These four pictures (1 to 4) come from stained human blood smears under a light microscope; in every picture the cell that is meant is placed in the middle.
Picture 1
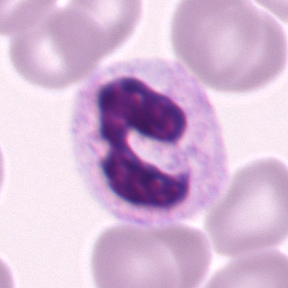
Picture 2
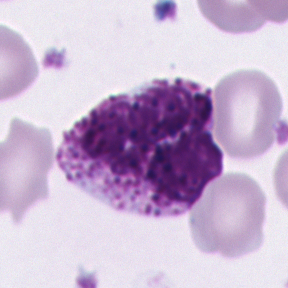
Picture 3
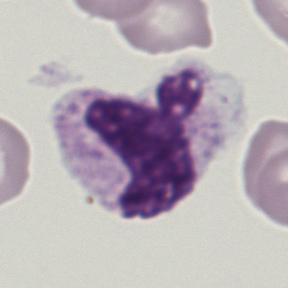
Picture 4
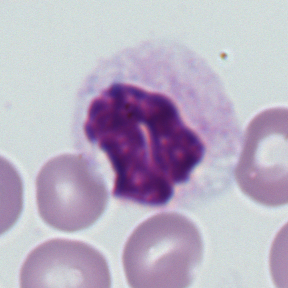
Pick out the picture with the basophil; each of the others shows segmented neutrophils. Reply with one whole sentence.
Picture 2 shows the basophil.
